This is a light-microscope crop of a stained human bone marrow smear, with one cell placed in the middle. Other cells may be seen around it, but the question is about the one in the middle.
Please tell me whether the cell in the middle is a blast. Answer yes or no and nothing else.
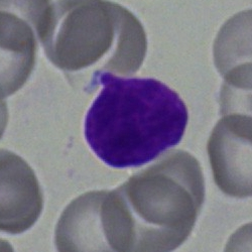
no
